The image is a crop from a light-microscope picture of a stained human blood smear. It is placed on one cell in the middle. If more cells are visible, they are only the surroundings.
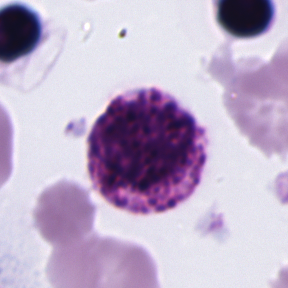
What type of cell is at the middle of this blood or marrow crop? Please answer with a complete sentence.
The center cell of this crop is a basophil.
